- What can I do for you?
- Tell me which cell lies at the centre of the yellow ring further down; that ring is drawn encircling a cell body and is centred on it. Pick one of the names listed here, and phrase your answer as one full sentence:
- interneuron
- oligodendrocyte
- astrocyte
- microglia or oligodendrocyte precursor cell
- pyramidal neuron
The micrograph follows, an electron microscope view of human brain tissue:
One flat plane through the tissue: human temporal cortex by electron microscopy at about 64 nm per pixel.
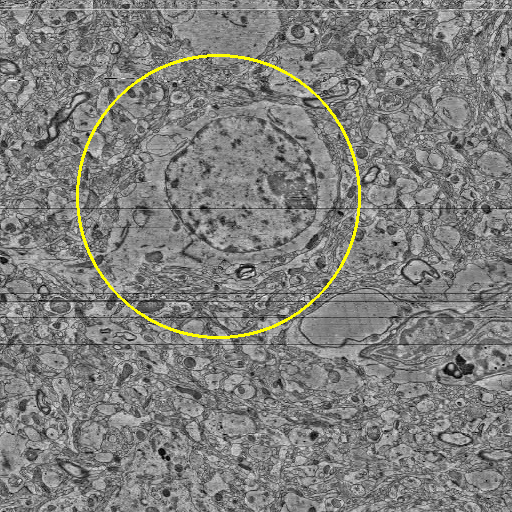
The cell whose body lies at the centre of the yellow ring is an astrocyte.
